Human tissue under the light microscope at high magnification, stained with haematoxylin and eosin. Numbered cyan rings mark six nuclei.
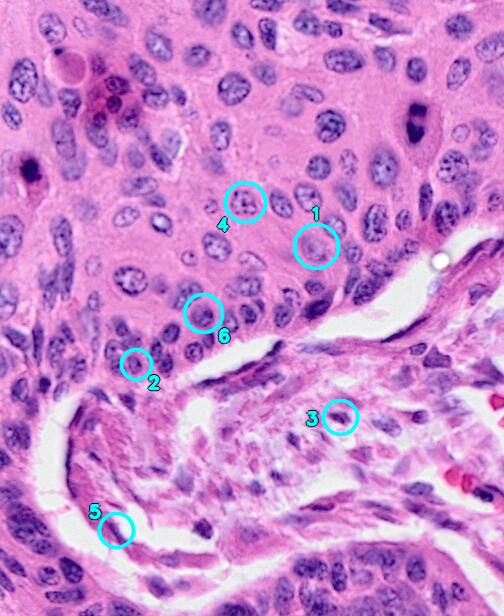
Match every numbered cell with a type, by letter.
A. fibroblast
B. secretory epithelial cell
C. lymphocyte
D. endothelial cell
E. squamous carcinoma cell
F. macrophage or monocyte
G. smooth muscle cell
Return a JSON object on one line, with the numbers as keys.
{"1": "E", "2": "E", "3": "A", "4": "E", "5": "A", "6": "E"}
